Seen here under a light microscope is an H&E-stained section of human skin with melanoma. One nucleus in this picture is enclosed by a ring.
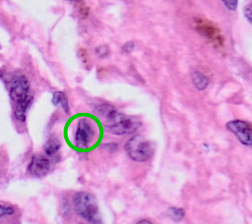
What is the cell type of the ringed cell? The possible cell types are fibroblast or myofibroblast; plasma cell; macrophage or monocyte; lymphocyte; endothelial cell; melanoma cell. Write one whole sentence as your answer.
With respect to cell type, the ringed cell is a macrophage or monocyte.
